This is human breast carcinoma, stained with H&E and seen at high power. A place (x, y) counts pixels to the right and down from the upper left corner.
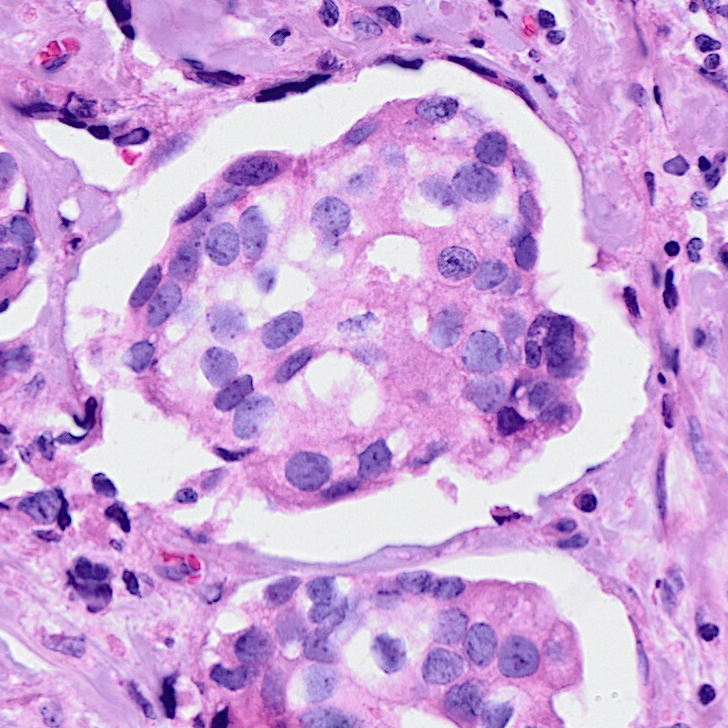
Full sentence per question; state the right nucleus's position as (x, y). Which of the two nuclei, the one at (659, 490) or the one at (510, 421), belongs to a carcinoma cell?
The nucleus belonging to a carcinoma cell is the one at (510, 421).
